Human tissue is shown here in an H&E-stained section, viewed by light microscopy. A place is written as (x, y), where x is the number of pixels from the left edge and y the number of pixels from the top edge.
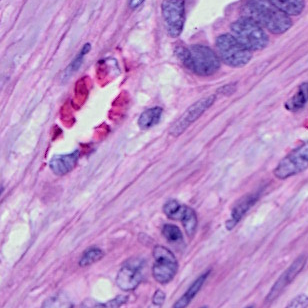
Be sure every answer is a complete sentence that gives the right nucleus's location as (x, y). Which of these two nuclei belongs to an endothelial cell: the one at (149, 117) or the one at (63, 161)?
Heads up, the nucleus at (63, 161) is the one that belongs to an endothelial cell.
